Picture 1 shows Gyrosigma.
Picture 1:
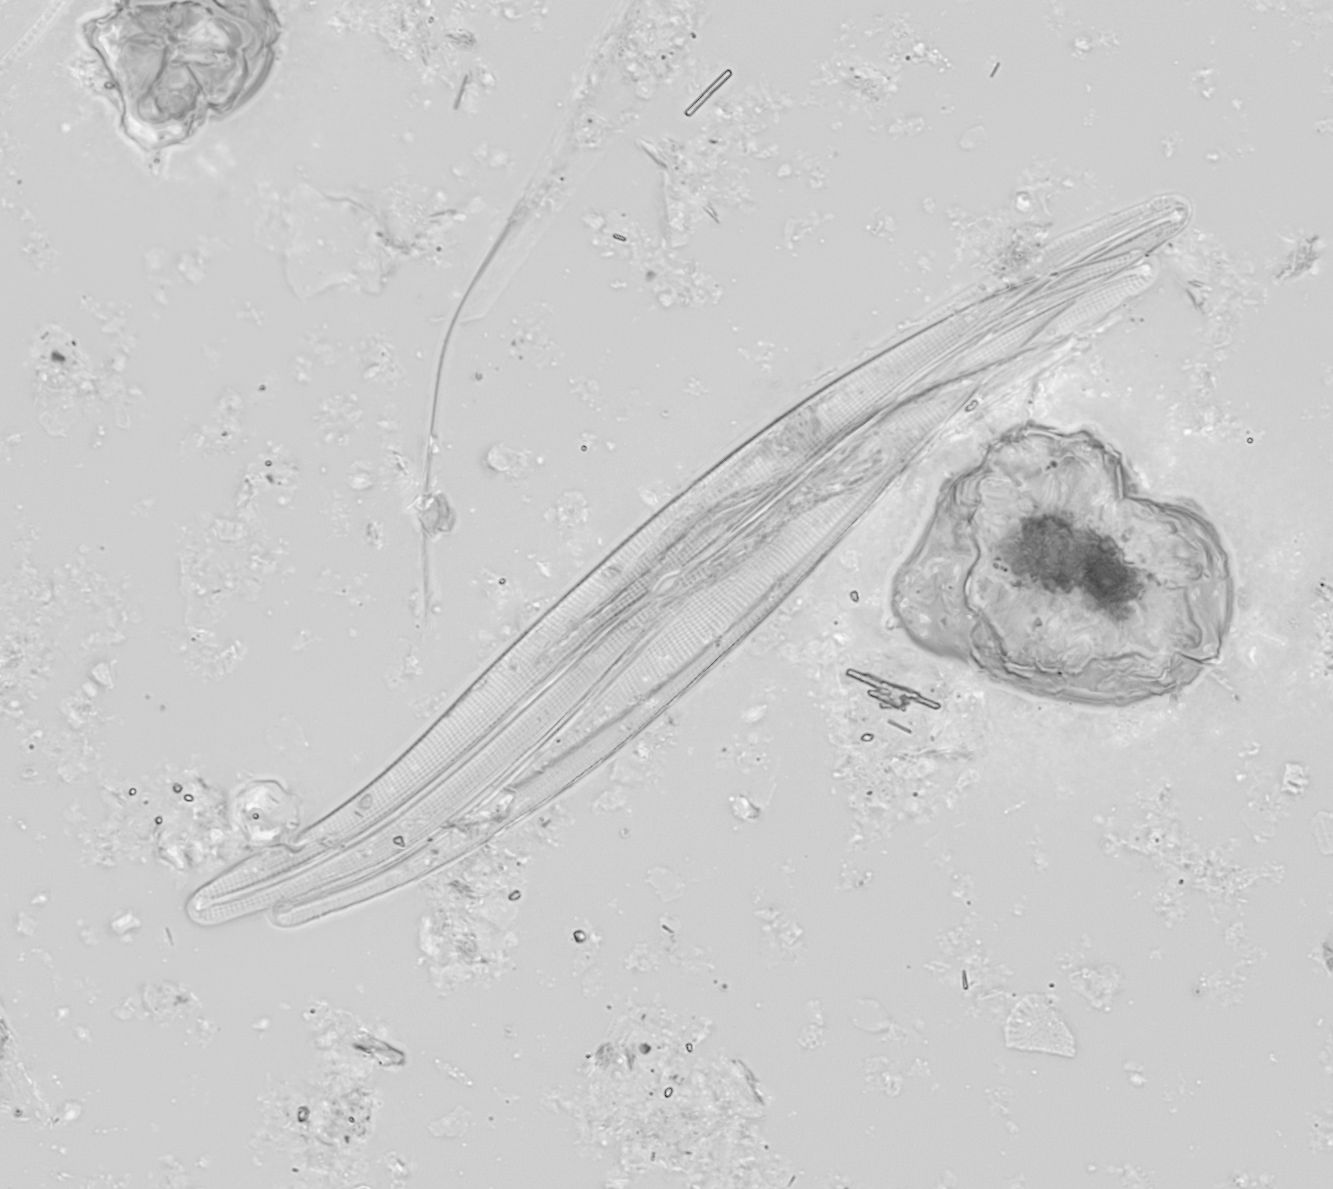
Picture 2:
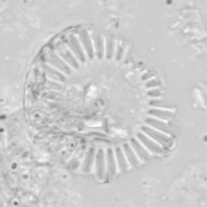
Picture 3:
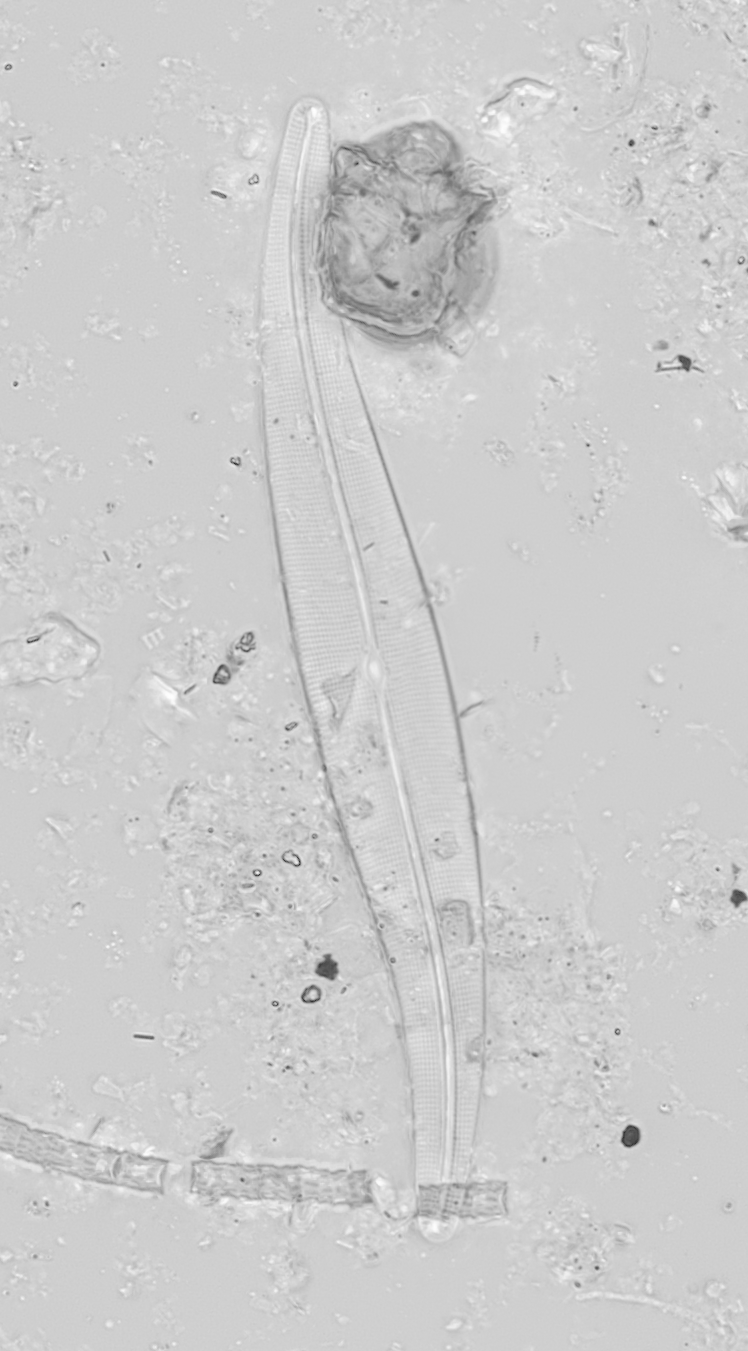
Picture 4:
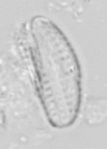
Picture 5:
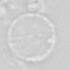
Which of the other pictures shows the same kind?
Picture 3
